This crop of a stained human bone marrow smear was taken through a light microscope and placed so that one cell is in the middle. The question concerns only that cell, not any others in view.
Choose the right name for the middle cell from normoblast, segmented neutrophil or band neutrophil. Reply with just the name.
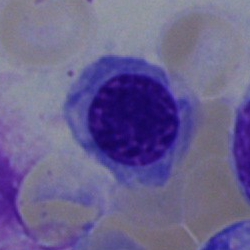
normoblast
